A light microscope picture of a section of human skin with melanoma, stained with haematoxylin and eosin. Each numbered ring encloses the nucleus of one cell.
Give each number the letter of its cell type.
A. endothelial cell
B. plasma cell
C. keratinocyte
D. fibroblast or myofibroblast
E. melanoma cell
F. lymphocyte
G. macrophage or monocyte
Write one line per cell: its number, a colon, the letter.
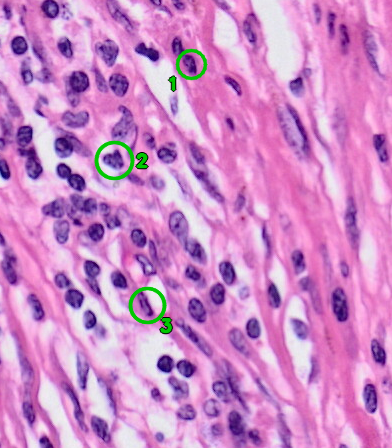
1: B
2: F
3: A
